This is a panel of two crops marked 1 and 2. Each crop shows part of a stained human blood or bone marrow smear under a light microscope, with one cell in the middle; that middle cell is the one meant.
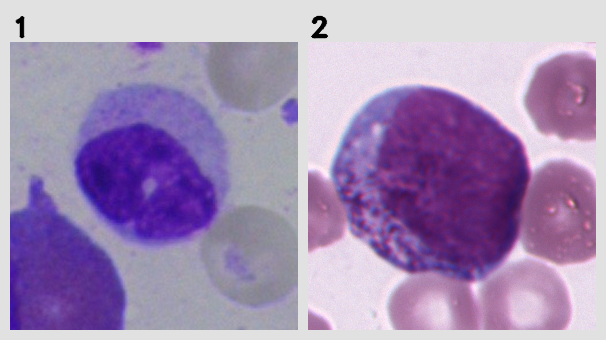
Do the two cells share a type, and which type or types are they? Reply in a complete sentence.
No, crop 1 gives us a monocyte and crop 2 gives us a promyelocyte.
